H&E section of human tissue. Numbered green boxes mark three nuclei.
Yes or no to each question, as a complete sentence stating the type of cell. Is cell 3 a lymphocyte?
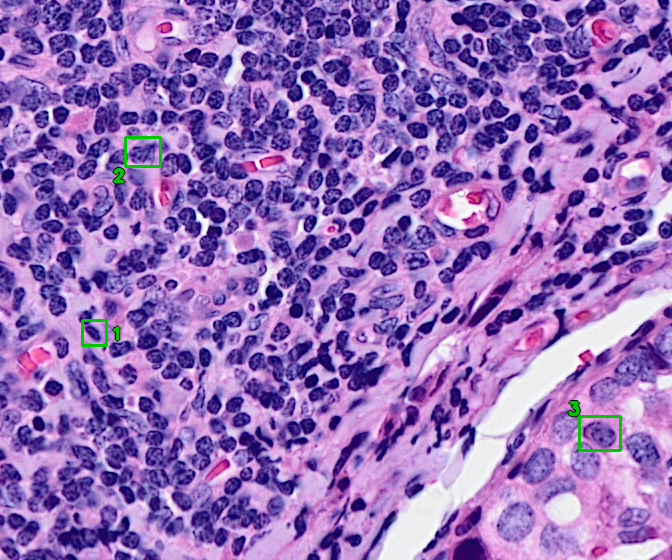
No, in terms of cell type, cell 3 is a carcinoma cell, not a lymphocyte.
